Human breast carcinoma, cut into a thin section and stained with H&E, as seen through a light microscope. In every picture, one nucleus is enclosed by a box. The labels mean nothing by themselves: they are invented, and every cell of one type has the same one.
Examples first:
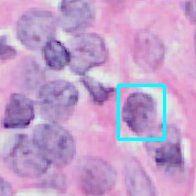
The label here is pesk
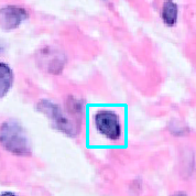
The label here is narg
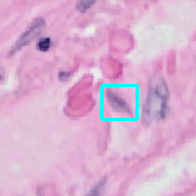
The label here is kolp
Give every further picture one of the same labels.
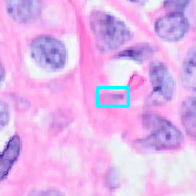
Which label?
kolp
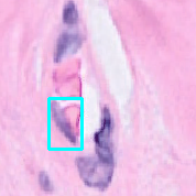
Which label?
kolp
